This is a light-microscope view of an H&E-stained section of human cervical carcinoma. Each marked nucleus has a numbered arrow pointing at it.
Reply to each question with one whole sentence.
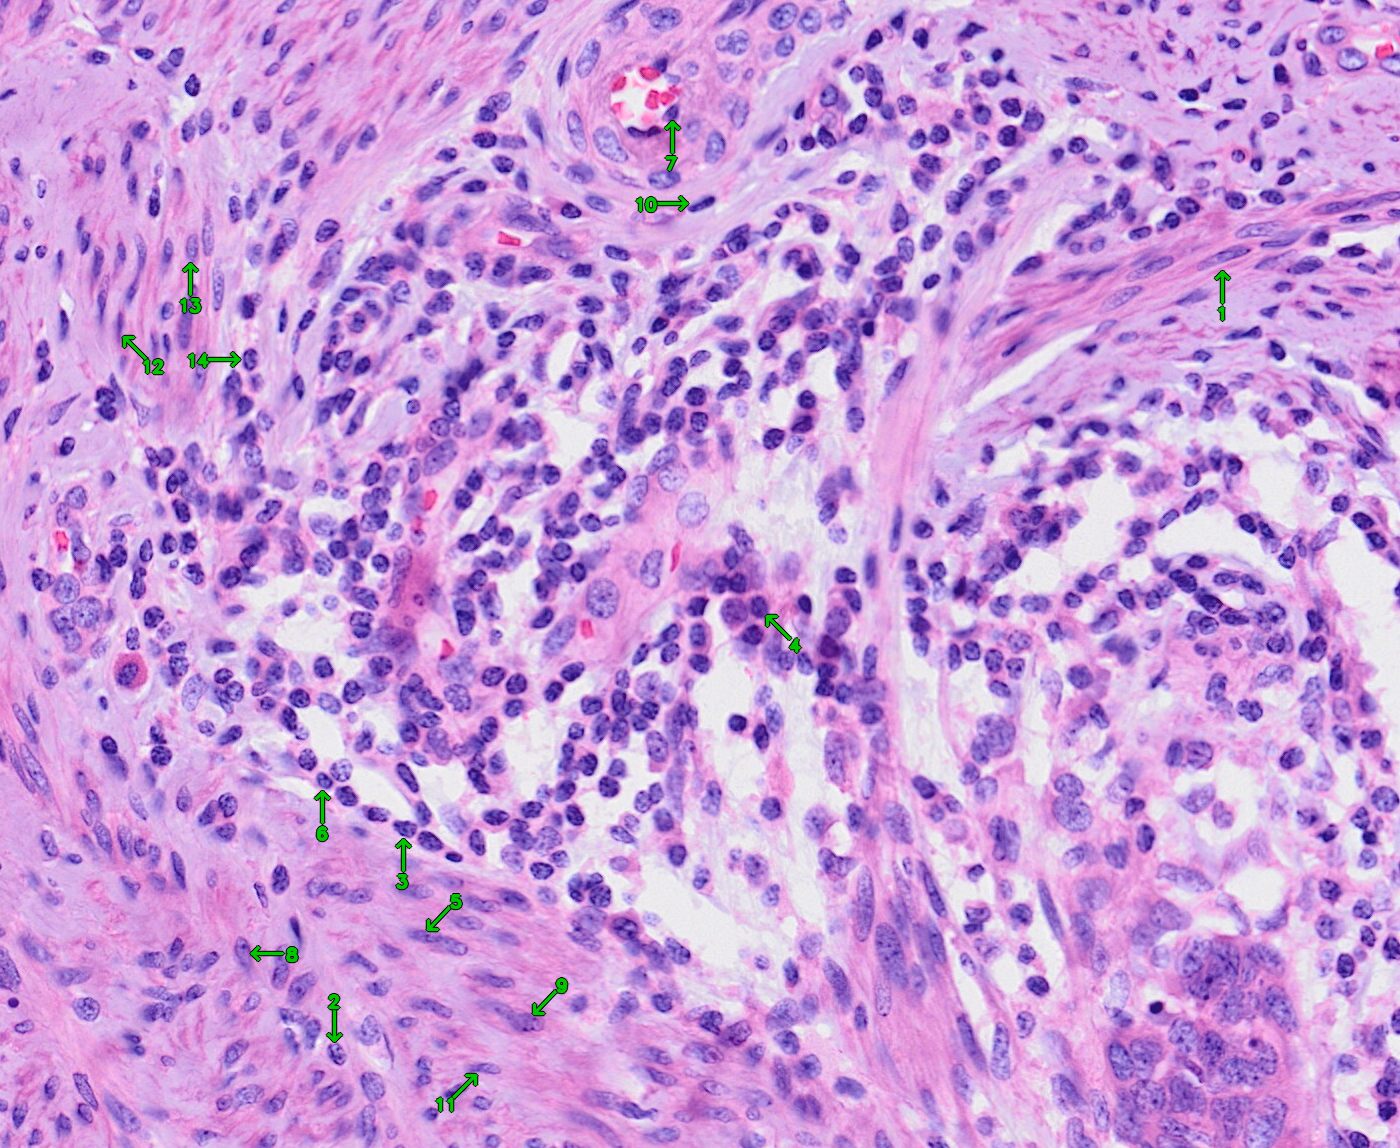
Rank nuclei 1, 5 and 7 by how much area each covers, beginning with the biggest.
Largest first, the order by area is 1, 5, 7.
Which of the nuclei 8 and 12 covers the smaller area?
It is nucleus 12; nucleus 8 has about 1.5 times its area.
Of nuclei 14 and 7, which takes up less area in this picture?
Nucleus 7 is the smaller one; nucleus 14 covers about 2 times its area.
